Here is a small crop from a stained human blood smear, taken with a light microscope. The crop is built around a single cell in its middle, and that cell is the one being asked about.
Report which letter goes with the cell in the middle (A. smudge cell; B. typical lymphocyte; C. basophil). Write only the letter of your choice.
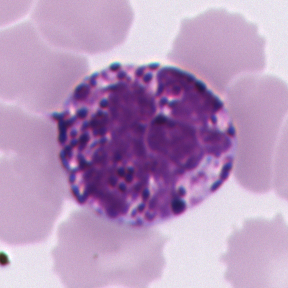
C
